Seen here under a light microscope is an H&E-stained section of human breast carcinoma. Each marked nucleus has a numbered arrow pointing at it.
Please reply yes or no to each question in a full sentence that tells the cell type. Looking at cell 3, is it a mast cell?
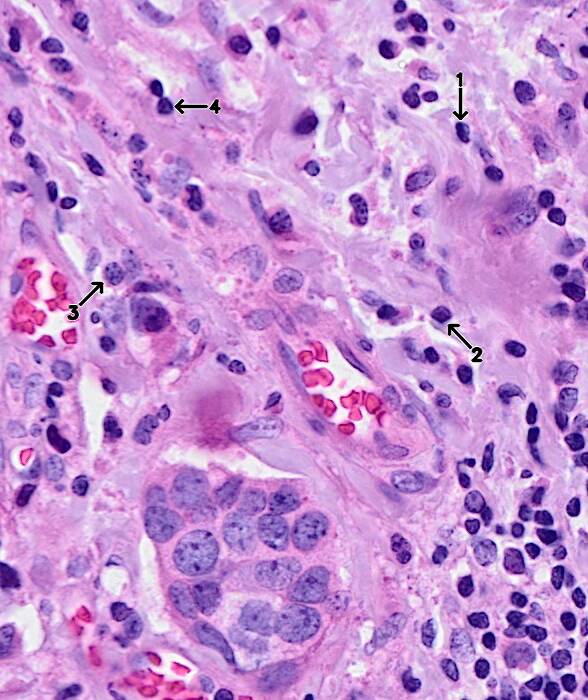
Yes, the cell that the number 3 labels is a mast cell.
